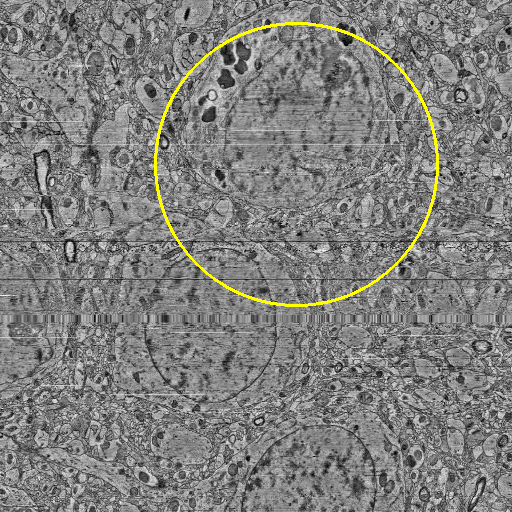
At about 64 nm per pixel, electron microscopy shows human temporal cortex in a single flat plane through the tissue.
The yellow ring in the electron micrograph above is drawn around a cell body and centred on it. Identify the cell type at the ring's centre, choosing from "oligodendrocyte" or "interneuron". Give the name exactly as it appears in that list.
interneuron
